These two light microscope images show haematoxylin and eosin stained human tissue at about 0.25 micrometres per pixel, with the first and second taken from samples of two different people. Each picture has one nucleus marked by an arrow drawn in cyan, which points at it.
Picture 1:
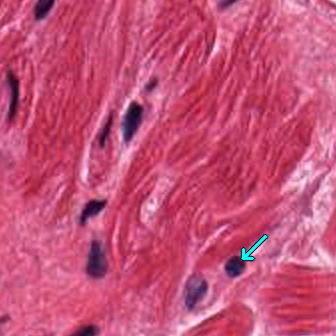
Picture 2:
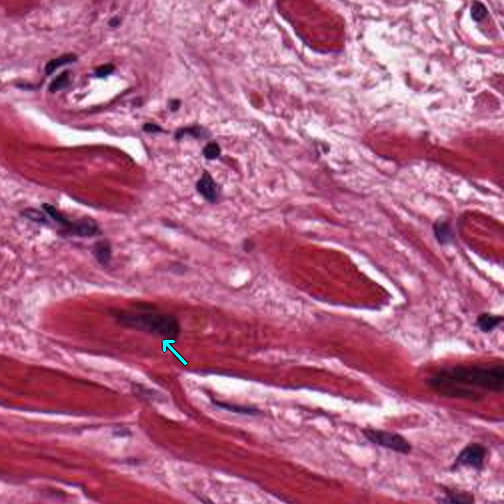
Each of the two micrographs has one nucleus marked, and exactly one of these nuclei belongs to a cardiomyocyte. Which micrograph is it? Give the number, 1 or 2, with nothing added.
2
